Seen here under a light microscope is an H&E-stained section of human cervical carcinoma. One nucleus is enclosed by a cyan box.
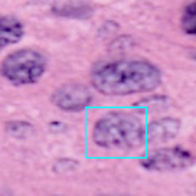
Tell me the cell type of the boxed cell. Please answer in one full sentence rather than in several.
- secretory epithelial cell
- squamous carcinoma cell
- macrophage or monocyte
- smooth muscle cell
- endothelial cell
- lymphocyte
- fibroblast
Cell type answer for this item: the boxed cell is a squamous carcinoma cell.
